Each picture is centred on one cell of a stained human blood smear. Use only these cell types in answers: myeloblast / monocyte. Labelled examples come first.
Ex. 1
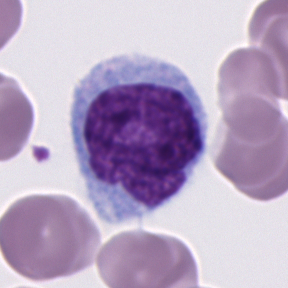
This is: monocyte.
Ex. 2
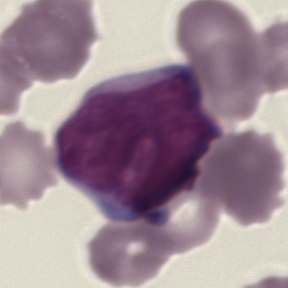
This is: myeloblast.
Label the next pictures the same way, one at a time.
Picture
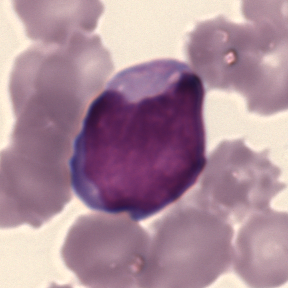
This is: myeloblast.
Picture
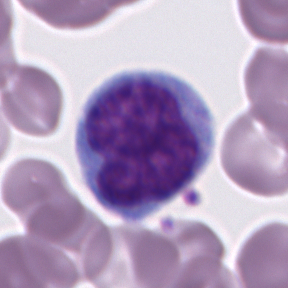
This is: monocyte.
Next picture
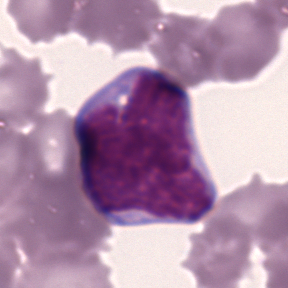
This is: myeloblast.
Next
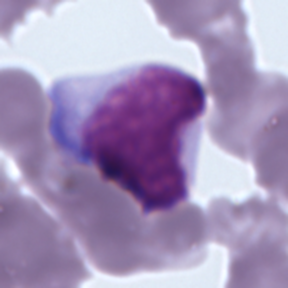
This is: myeloblast.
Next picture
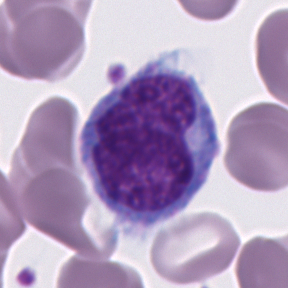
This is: monocyte.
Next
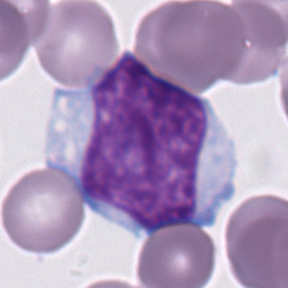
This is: myeloblast.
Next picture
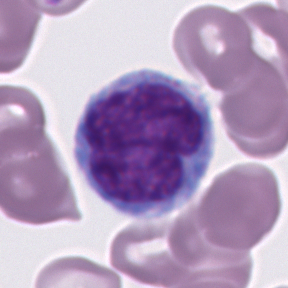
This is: monocyte.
